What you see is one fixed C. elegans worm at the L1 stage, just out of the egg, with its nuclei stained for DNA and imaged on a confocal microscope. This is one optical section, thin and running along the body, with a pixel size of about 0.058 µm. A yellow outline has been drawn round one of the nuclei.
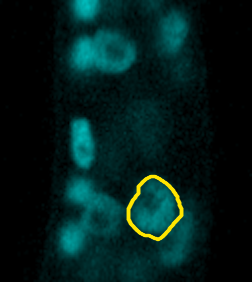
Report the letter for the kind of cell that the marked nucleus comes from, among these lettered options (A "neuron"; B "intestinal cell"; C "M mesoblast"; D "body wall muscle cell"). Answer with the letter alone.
C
